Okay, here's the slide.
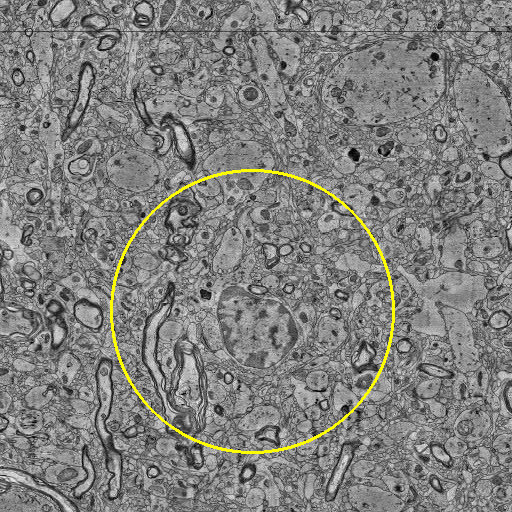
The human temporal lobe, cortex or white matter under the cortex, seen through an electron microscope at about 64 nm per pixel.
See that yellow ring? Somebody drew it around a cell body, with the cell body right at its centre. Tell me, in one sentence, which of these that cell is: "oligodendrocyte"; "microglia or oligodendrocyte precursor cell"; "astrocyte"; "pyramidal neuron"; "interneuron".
The cell in the middle of the ring is a microglial cell or oligodendrocyte precursor cell.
